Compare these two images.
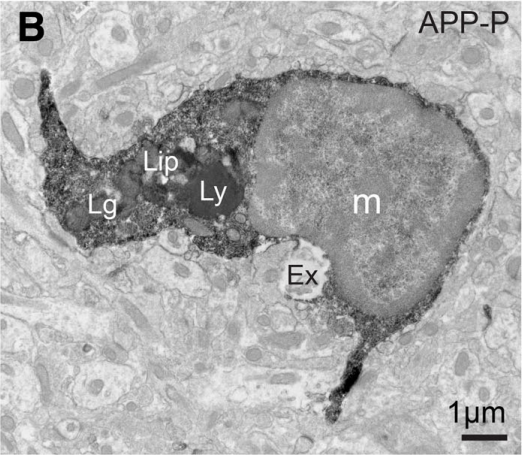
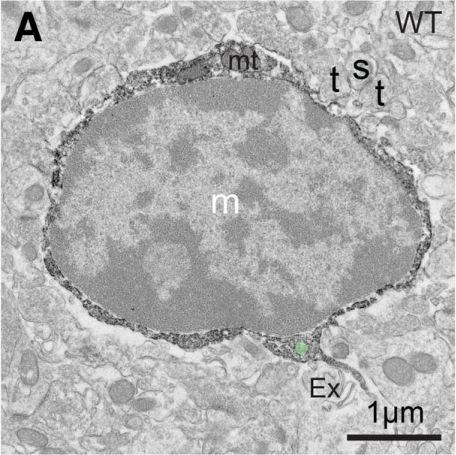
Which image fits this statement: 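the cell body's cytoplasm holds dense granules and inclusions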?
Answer: The first image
